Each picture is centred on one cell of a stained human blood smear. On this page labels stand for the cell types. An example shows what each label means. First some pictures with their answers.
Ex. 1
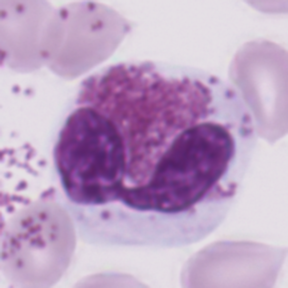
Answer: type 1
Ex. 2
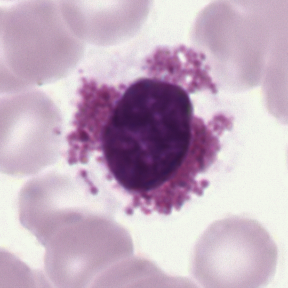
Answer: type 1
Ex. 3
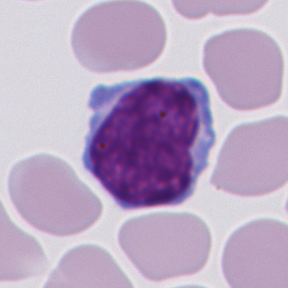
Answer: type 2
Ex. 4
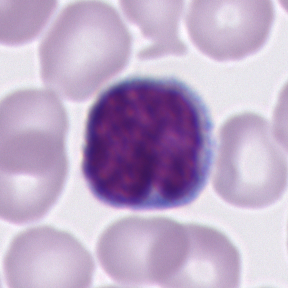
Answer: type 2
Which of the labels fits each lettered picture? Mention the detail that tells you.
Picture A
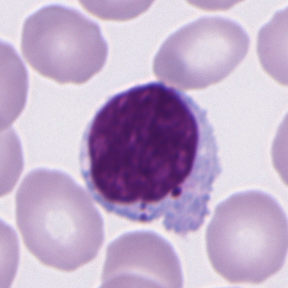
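Answer: type 2. A few small dark purple granules lie in the cytoplasm just below the nucleus.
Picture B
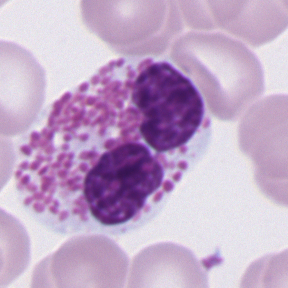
Answer: type 1. The nucleus is made of two lobes.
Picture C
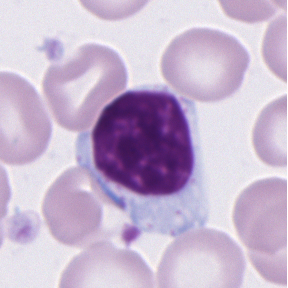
Answer: type 2. A few small reddish-purple granules lie scattered in the cytoplasm.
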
